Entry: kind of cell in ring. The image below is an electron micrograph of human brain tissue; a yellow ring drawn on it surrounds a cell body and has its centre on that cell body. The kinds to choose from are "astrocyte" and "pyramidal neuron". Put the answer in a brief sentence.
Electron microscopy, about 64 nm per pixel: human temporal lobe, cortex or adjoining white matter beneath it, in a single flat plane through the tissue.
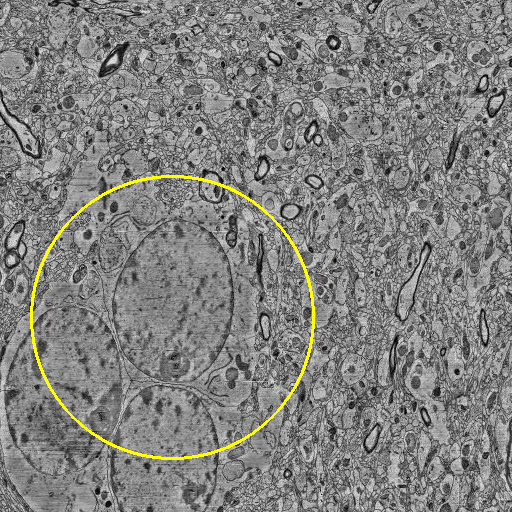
The ring has been drawn around an astrocyte.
